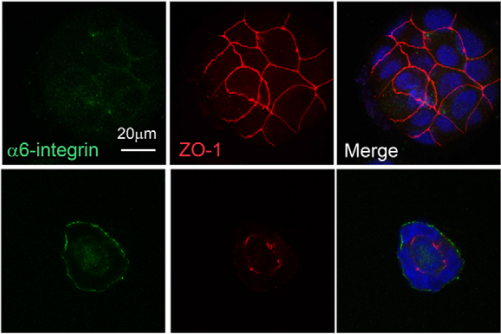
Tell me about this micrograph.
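The top row shows a flat sheet of cultured epithelial cells, and thin red lines outline each polygonal cell along its borders, with the blue nuclei inside. The green here is faint and scattered. The bottom row shows a rounded cluster of cells grown in three dimensions: the green forms a rim along the outer surface of the ball, while the red lies in small spots near its centre.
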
